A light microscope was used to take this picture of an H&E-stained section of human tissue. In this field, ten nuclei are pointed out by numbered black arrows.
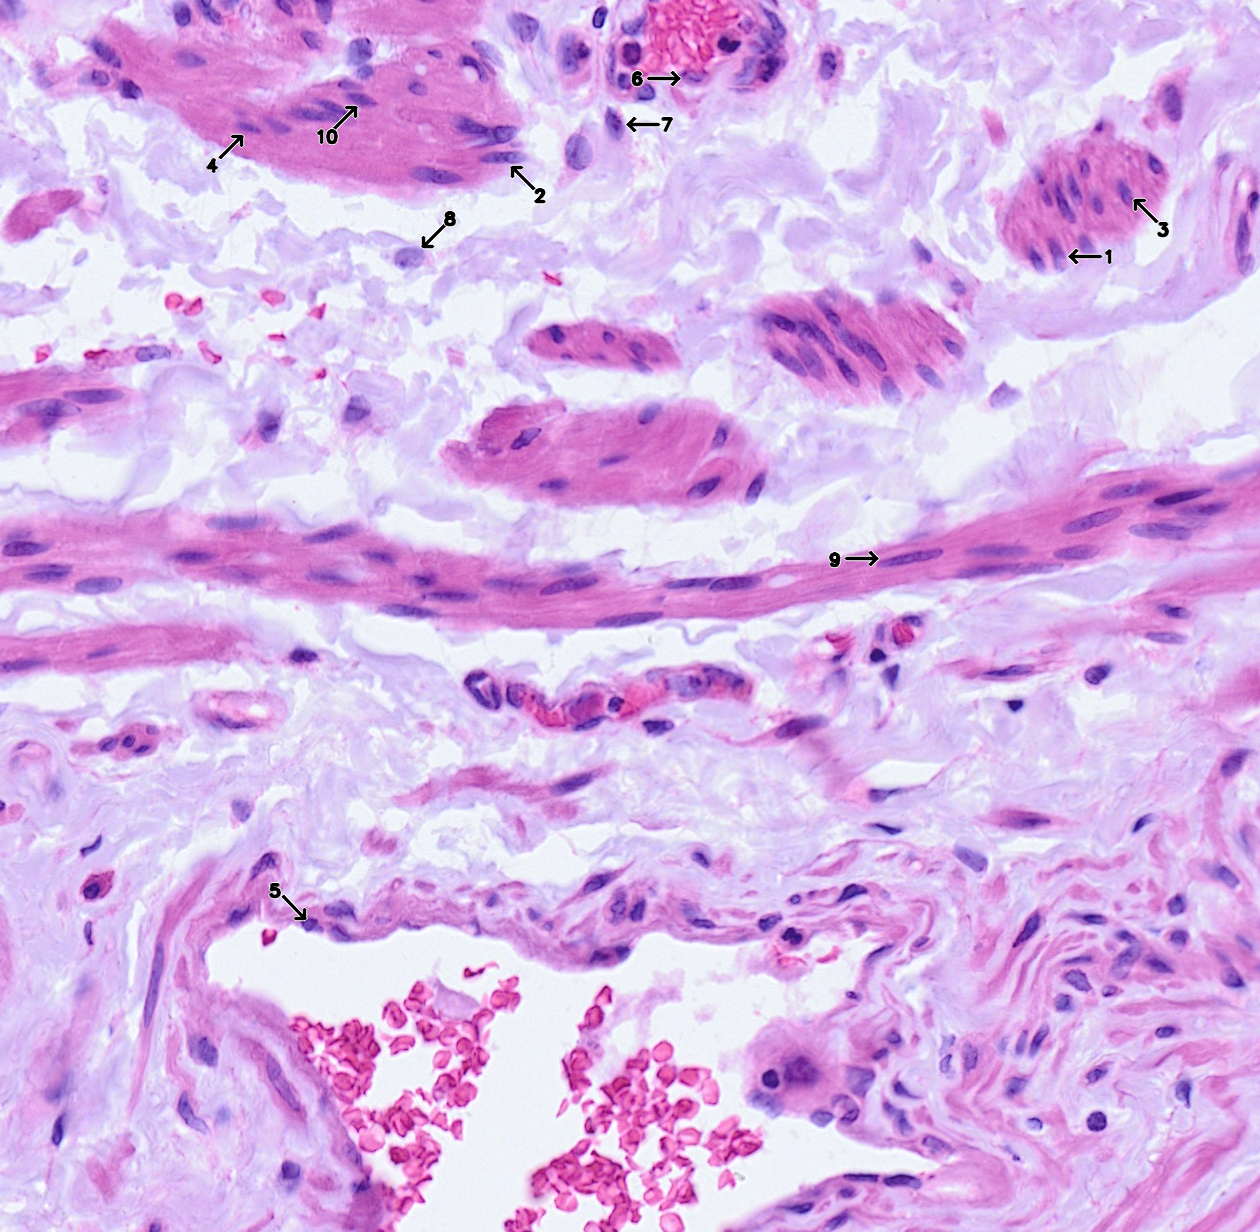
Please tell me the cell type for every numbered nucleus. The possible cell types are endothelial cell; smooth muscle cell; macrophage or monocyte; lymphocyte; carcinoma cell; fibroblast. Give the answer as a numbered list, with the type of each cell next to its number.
1. smooth muscle cell
2. smooth muscle cell
3. smooth muscle cell
4. smooth muscle cell
5. endothelial cell
6. endothelial cell
7. fibroblast
8. fibroblast
9. smooth muscle cell
10. smooth muscle cell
